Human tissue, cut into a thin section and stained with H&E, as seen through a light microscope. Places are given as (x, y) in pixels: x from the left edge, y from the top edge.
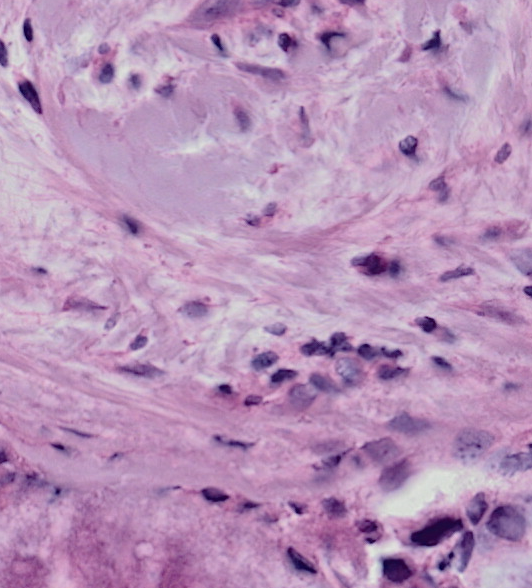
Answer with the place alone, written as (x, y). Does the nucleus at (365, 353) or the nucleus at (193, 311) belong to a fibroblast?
(193, 311)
